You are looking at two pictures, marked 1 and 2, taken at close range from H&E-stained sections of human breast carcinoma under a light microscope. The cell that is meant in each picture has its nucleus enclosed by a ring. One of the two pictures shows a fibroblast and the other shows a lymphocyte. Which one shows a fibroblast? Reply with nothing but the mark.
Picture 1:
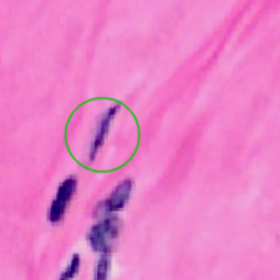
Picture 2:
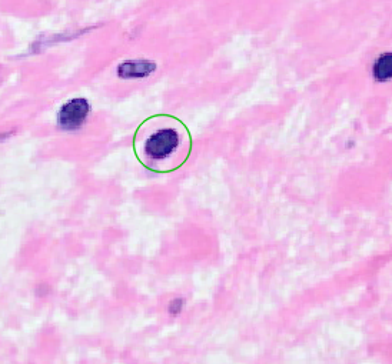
1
